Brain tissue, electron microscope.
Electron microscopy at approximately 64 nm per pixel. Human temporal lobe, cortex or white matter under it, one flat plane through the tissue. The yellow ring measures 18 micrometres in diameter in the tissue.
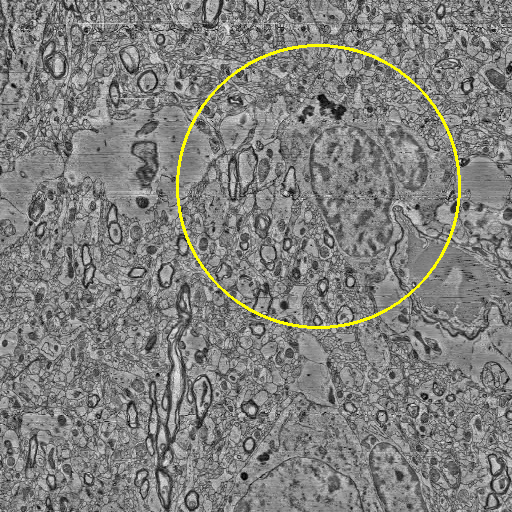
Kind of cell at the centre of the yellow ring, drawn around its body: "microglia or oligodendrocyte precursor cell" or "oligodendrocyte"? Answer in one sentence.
The ring's centre falls on an oligodendrocyte.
